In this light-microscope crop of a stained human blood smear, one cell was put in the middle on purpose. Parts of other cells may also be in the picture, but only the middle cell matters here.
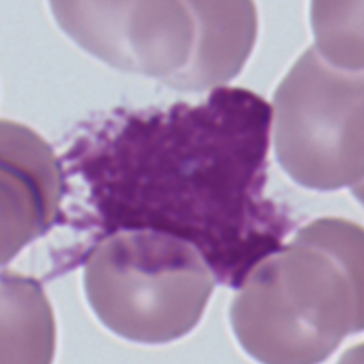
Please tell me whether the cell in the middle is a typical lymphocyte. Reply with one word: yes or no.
no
